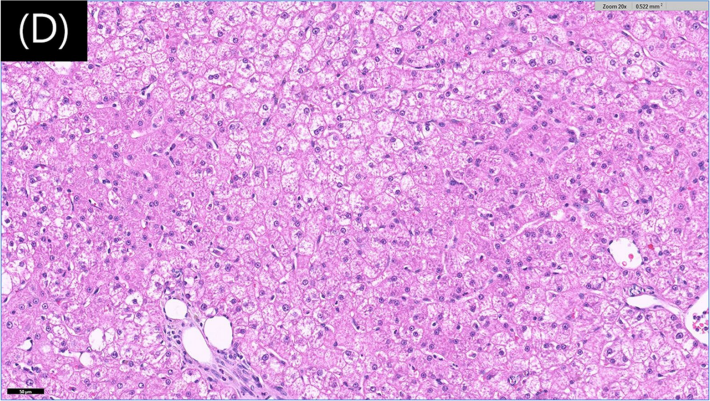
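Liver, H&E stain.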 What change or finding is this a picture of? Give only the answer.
Vacuolar hepatopathy.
